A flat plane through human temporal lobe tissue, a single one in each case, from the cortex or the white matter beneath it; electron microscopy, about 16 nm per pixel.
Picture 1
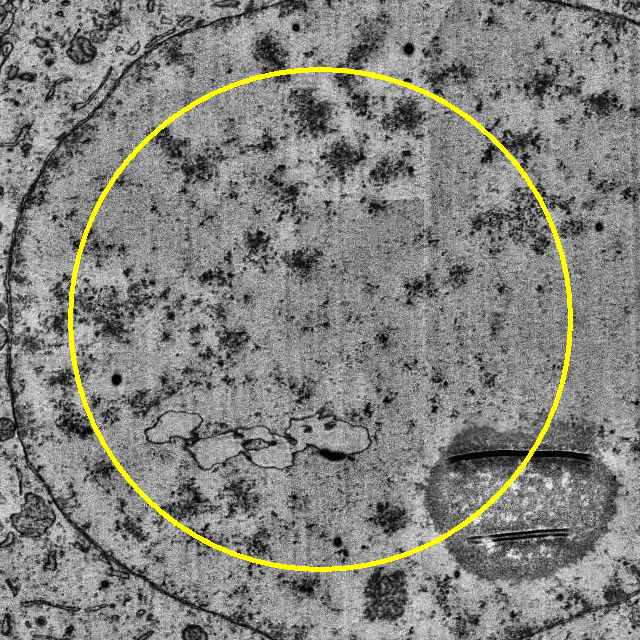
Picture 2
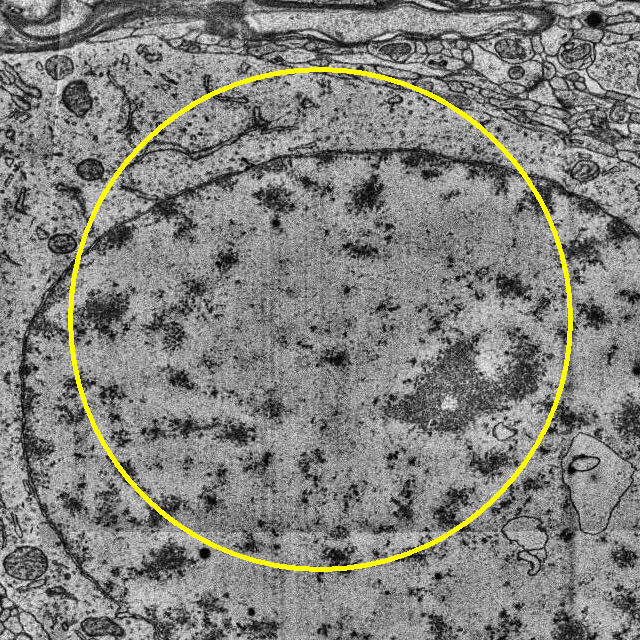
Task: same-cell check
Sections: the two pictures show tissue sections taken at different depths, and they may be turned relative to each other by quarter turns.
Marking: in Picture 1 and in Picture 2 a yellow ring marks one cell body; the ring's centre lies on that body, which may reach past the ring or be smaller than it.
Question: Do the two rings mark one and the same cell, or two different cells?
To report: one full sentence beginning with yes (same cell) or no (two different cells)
No, the cell in one ring is not the cell in the other.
